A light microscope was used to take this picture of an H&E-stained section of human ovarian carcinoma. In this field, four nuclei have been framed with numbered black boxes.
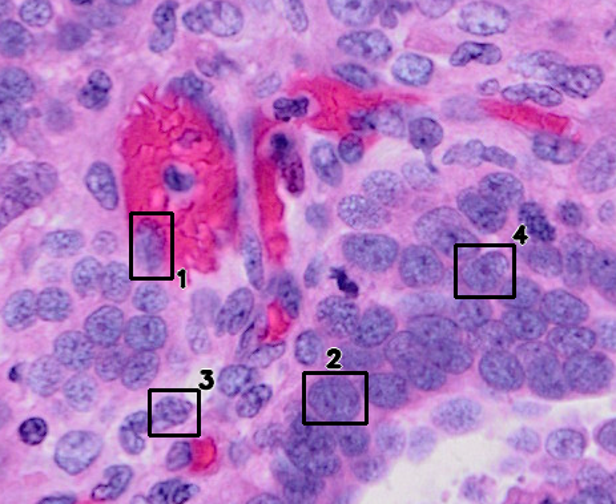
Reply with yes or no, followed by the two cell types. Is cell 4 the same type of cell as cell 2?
Yes, among the marked cells, numbers 4 and 2 are both carcinoma cells.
